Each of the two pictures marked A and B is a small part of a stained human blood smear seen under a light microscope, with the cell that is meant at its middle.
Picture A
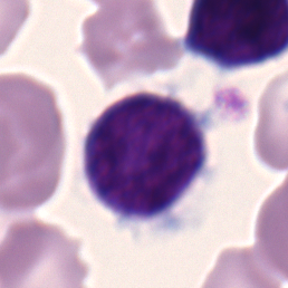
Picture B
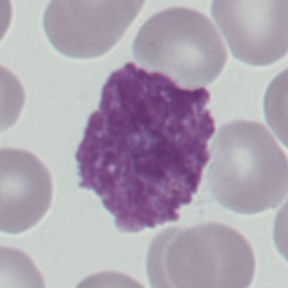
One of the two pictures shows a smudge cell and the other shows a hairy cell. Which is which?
A: hairy cell
B: smudge cell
